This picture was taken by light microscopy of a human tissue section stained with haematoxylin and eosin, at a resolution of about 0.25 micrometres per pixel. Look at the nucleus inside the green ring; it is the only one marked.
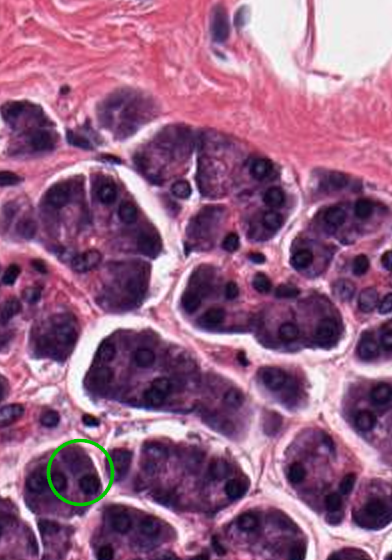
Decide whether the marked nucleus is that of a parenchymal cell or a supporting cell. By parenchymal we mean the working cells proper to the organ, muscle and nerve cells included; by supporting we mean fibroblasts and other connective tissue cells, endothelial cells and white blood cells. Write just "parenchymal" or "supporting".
parenchymal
